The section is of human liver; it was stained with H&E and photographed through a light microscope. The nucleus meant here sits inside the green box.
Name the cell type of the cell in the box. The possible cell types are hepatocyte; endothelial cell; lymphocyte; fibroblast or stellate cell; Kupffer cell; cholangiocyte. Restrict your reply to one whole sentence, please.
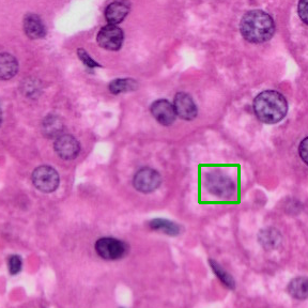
For the purposes of cell typing, the cell in the box is categorized as a hepatocyte.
